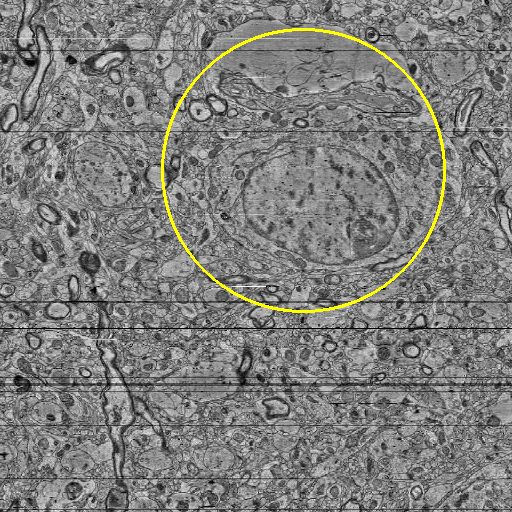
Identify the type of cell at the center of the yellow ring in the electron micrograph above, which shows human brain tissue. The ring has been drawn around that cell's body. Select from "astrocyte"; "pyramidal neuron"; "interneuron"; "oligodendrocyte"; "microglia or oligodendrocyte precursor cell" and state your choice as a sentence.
The yellow ring is centered on the body of an interneuron.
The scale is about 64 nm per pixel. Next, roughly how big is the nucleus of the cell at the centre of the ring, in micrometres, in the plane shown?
Approximately 10 micrometres long and 8 micrometres wide, in this plane.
